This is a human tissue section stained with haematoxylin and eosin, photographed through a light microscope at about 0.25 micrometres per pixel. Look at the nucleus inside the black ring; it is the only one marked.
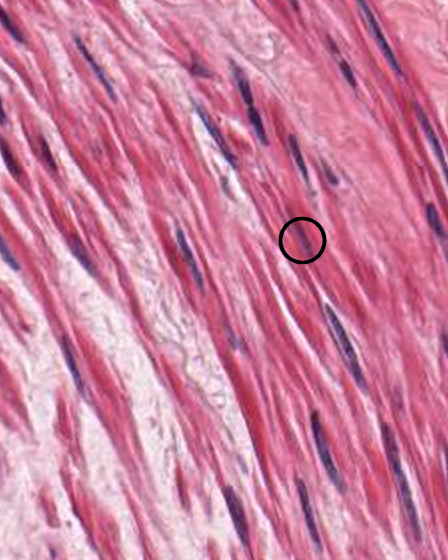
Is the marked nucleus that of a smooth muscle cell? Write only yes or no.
yes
